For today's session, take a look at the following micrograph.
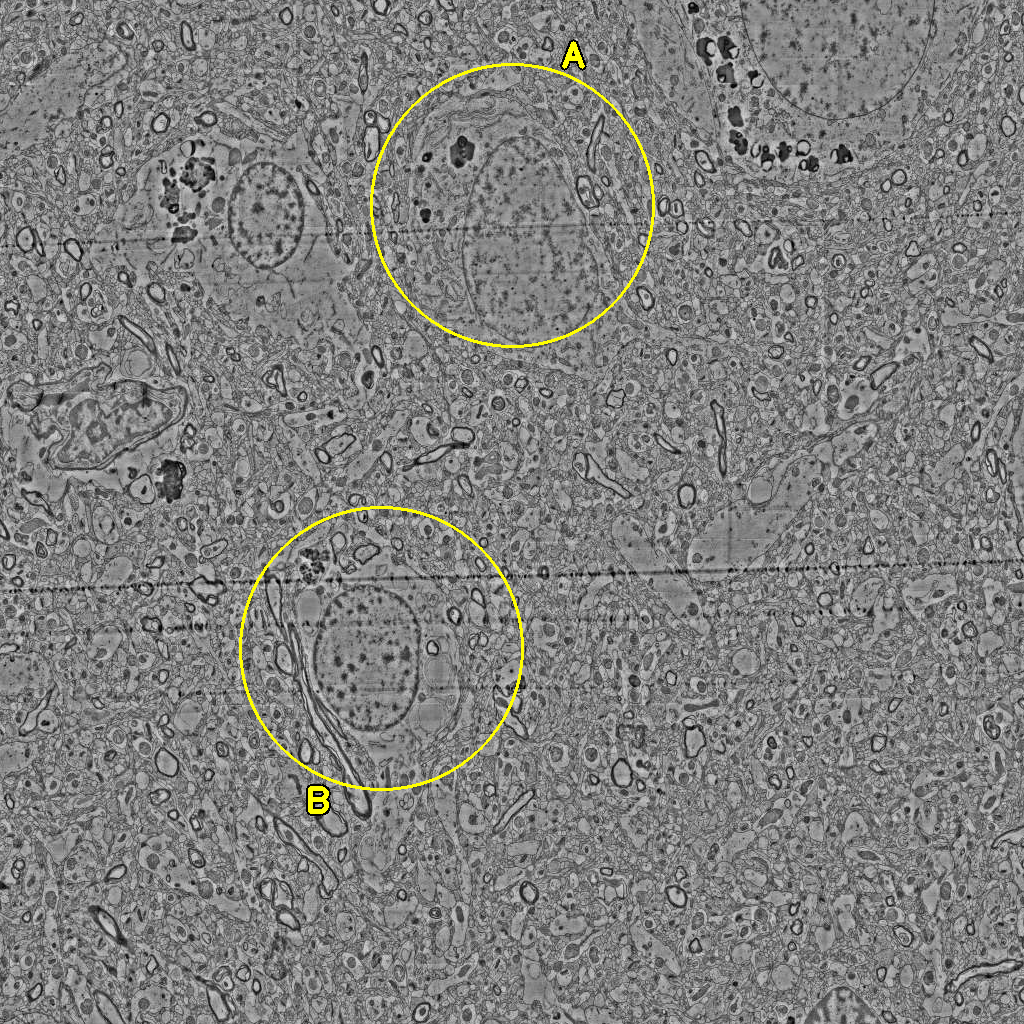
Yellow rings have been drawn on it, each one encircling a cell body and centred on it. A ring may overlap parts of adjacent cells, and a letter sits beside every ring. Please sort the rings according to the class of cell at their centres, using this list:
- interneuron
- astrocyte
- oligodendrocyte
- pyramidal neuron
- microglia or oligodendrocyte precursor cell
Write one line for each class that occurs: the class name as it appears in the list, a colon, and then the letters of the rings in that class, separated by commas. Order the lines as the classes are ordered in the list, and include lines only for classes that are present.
interneuron: A
astrocyte: B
